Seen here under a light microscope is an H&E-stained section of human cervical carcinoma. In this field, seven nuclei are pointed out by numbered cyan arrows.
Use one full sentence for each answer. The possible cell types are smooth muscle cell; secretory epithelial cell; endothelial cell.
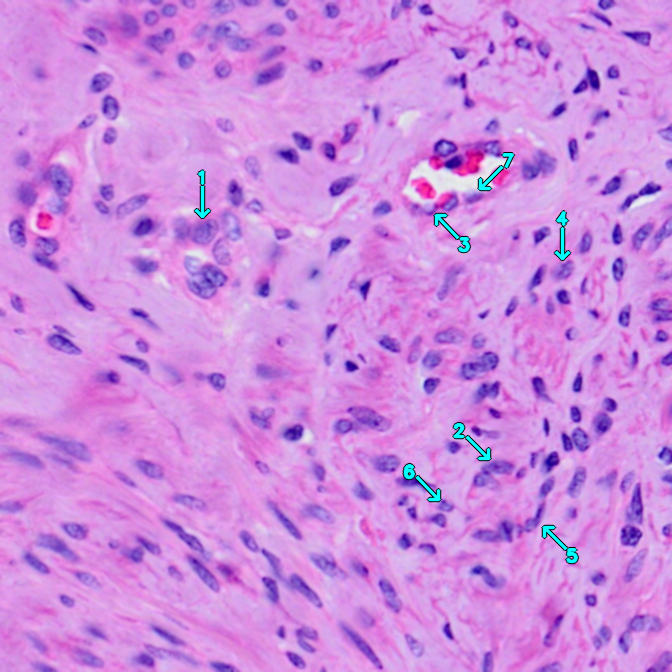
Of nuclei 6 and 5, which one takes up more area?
It is nucleus 5, which covers about 2 times the area of nucleus 6.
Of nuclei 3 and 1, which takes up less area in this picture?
With nucleus 1 about 4 times its size, nucleus 3 is the smaller of the two.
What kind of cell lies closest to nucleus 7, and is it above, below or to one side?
Just to the left of nucleus 7 lies the nearest nucleus, which belongs to an endothelial cell.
